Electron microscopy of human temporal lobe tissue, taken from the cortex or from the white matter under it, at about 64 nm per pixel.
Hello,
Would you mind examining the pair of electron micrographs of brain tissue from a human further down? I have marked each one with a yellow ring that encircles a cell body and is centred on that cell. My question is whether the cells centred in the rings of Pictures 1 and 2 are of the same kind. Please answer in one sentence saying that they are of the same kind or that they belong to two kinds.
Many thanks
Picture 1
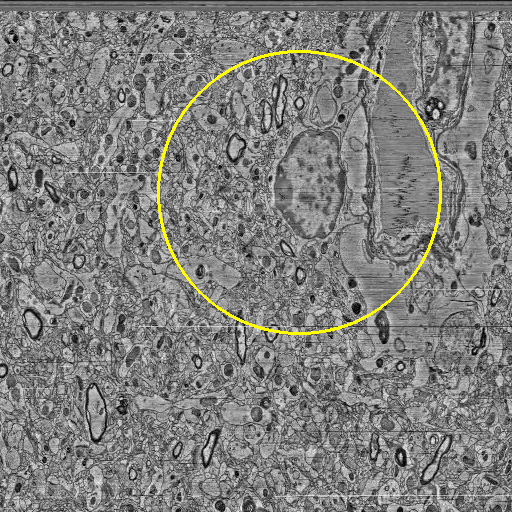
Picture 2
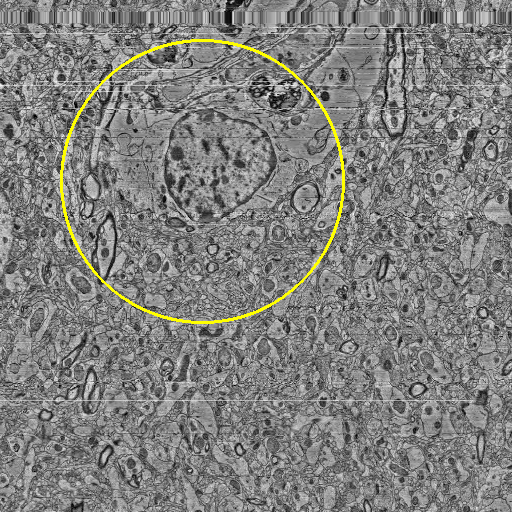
In Pictures 1 and 2, the cells at the heart of the rings are of the same kind.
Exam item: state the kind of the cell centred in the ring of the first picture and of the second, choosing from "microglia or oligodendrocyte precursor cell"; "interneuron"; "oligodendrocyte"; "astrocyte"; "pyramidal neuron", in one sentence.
The first and the second cell are each a microglial cell or oligodendrocyte precursor cell.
